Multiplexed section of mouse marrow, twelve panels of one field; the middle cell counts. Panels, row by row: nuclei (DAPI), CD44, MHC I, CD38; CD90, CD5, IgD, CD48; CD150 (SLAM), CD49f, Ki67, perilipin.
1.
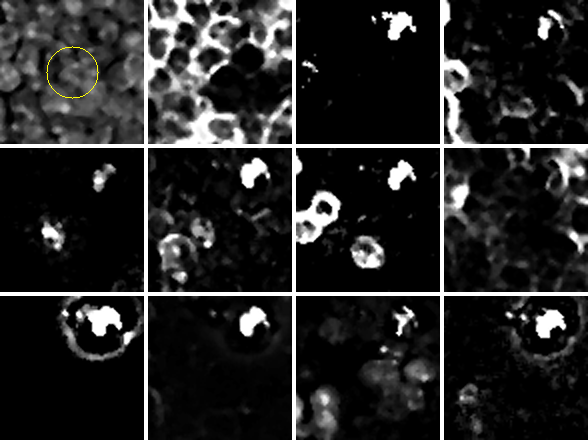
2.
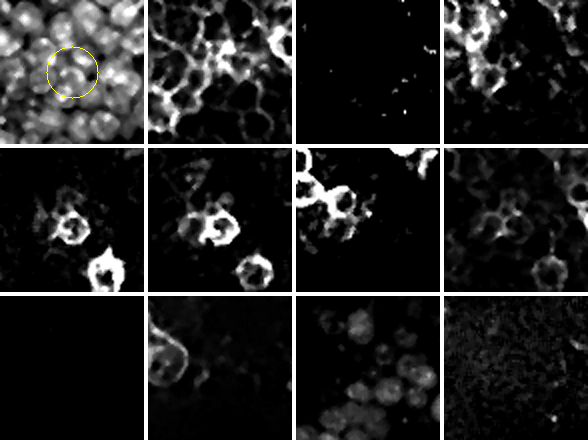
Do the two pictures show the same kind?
No: a neutrophil, then a T cell.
